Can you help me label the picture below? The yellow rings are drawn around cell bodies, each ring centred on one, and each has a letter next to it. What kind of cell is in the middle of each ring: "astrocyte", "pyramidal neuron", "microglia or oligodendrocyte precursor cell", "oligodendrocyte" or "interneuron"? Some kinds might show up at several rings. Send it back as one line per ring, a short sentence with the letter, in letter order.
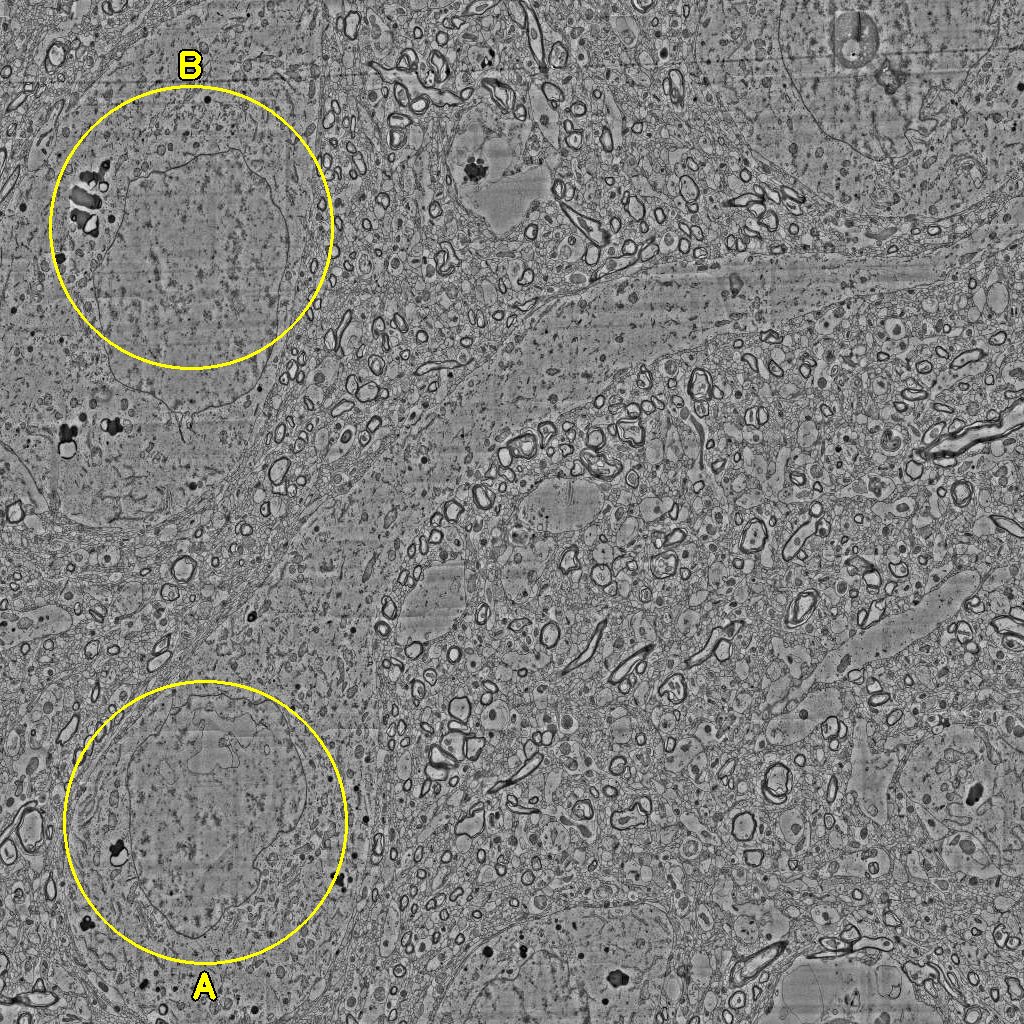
Ring A has a pyramidal neuron in the middle.
Ring B has a pyramidal neuron in the middle.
